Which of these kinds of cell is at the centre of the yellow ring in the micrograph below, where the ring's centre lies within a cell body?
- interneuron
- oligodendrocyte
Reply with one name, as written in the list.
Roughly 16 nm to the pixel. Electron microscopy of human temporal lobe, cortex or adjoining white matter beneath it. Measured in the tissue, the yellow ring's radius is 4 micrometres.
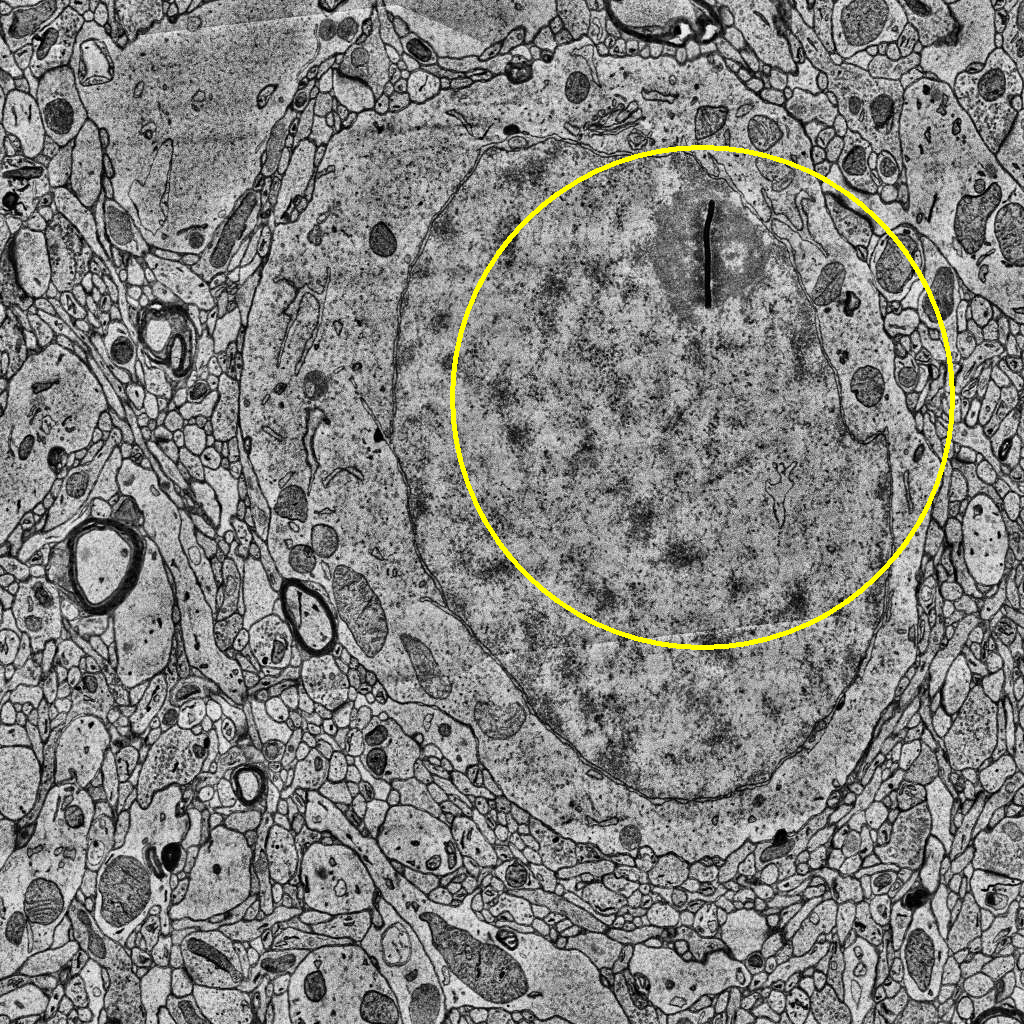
interneuron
